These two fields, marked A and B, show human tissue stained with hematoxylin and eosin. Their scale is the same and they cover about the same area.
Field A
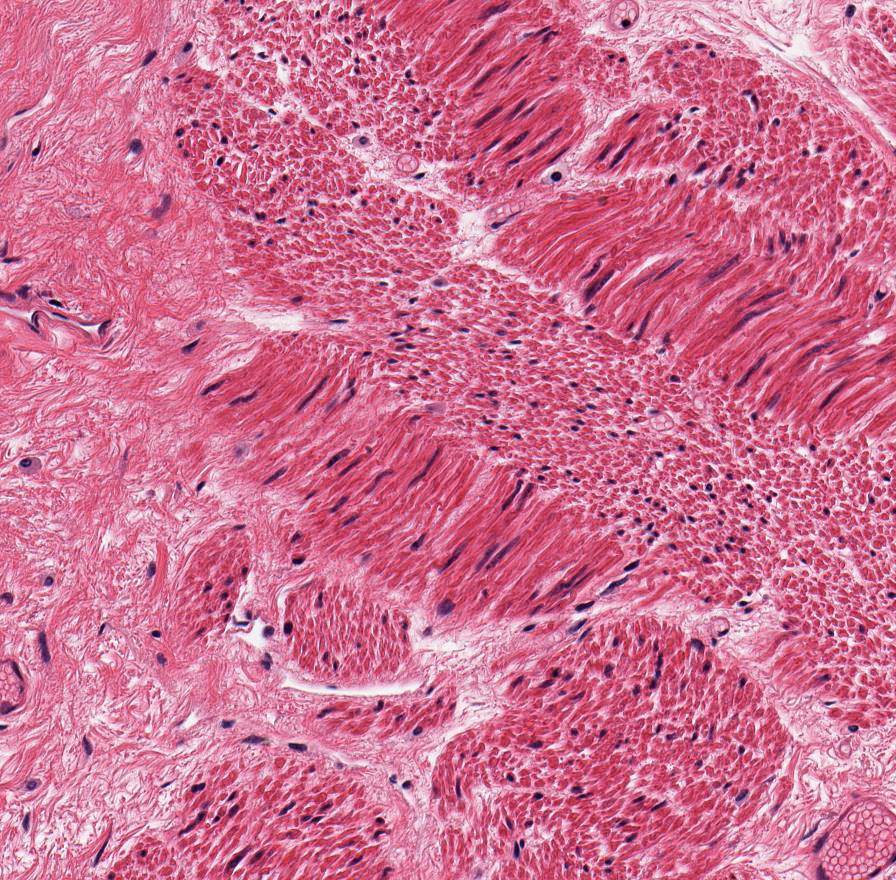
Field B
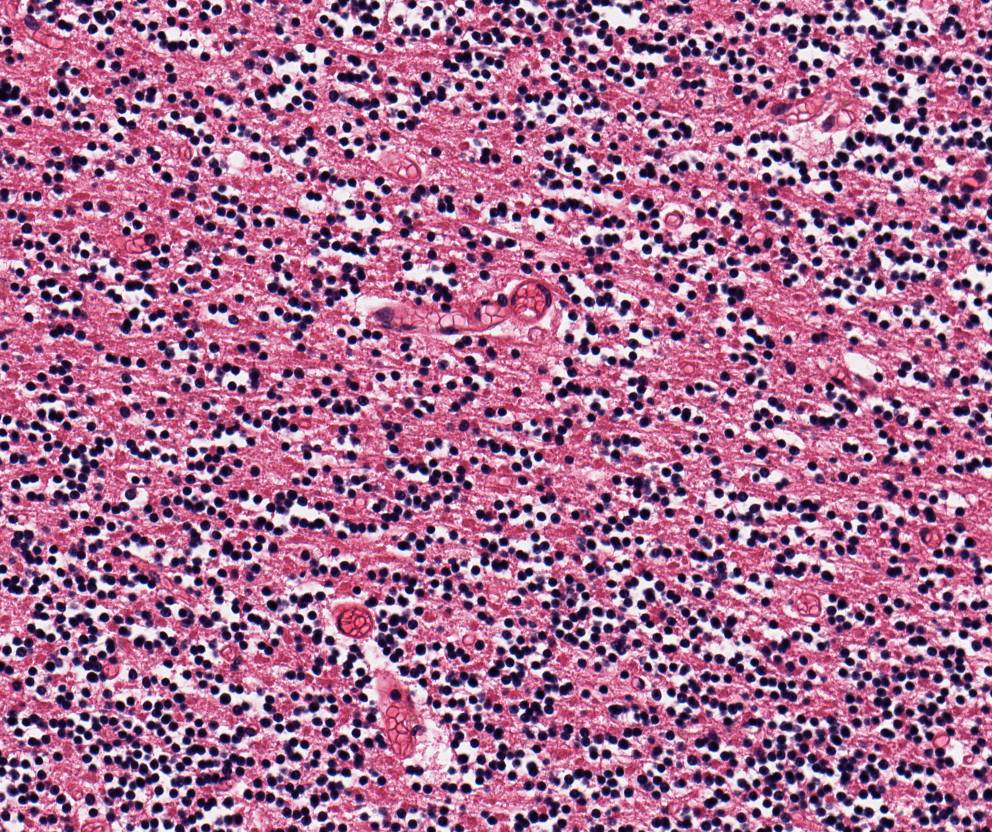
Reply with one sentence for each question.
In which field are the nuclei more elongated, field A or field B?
It is field A whose nuclei are the more elongated.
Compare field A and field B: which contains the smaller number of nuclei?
There are fewer nuclei in field A.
